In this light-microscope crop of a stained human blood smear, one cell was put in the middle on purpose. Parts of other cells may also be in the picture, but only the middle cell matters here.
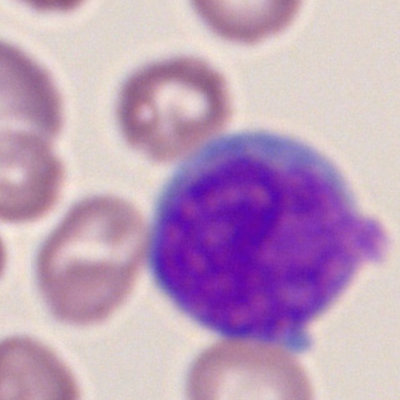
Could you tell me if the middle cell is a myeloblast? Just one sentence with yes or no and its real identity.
No, the cell at the centre of the crop corresponds to a monocyte, not a myeloblast.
